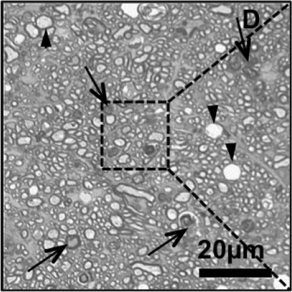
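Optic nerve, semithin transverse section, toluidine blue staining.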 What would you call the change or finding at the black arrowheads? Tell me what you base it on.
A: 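Swollen axons. The arrowheads point to round profiles that are larger and paler than the surrounding axons. These profiles have a thin or indistinct dark rim.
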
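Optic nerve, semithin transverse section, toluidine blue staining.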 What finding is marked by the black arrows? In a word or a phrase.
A: shrunken axons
